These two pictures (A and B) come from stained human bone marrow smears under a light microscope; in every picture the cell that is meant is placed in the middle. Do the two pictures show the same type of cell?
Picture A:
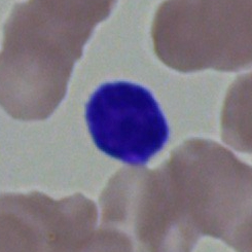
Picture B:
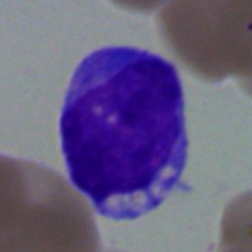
no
